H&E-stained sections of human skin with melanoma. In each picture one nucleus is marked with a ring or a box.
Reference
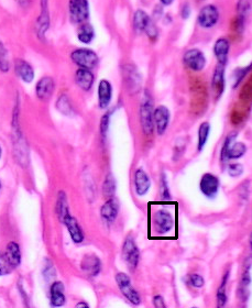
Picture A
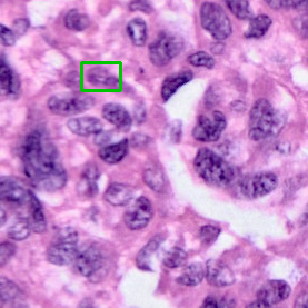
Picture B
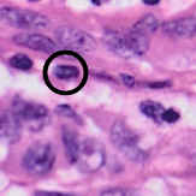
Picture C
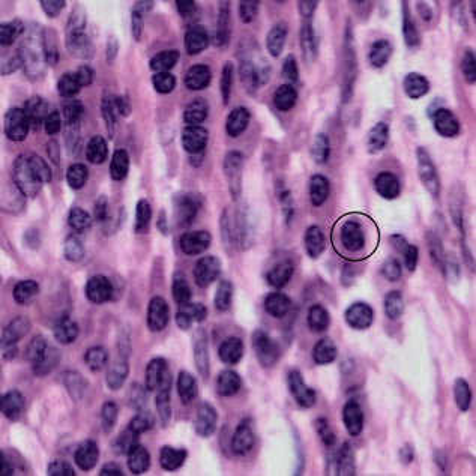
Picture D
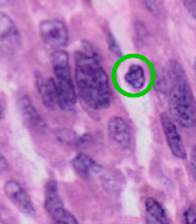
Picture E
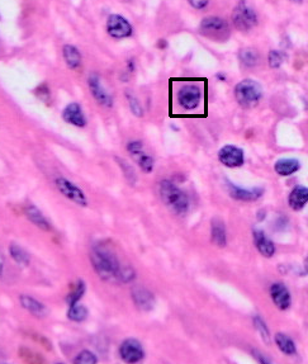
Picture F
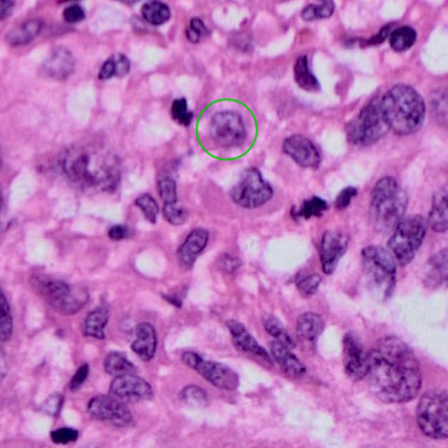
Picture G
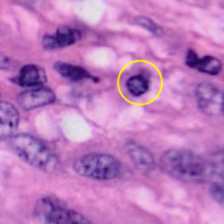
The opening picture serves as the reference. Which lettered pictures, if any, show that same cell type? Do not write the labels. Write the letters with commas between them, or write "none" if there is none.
B, D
